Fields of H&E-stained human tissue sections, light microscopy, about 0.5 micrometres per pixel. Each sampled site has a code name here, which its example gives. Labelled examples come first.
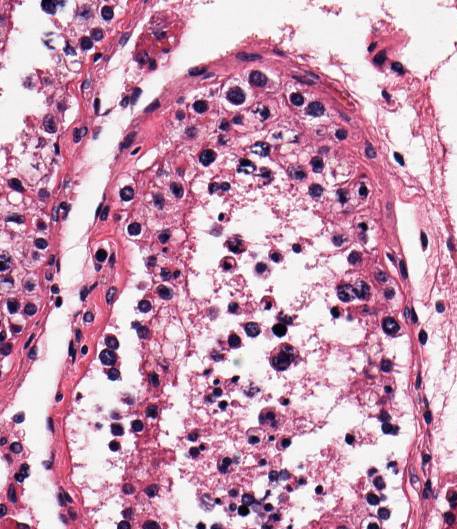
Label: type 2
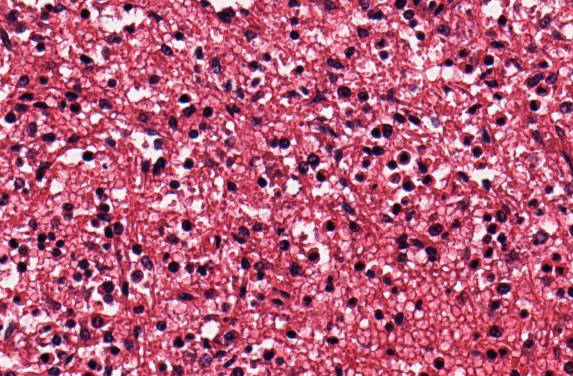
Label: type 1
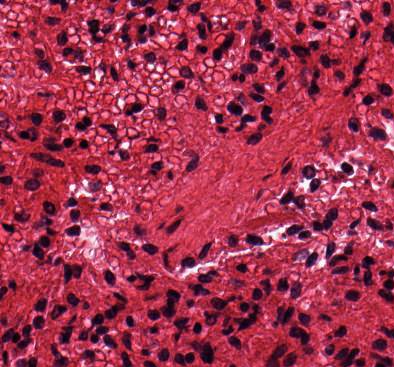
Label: type 1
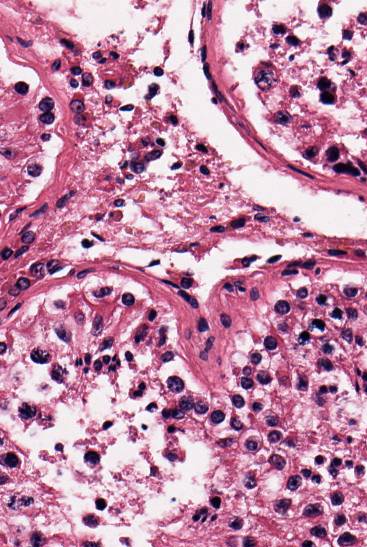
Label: type 2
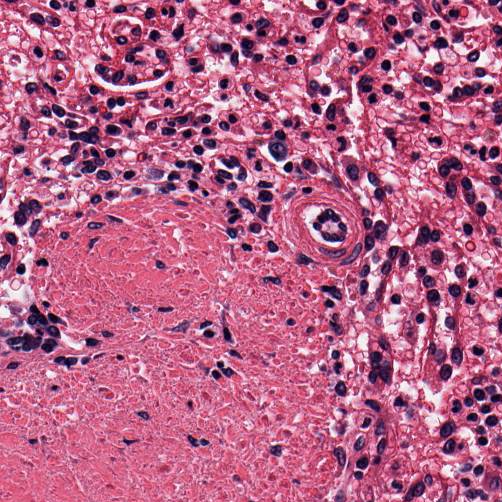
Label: type 1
